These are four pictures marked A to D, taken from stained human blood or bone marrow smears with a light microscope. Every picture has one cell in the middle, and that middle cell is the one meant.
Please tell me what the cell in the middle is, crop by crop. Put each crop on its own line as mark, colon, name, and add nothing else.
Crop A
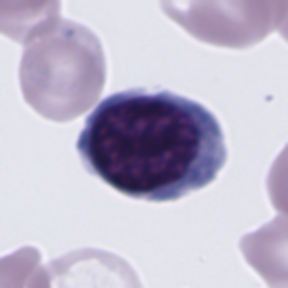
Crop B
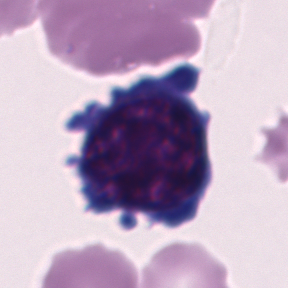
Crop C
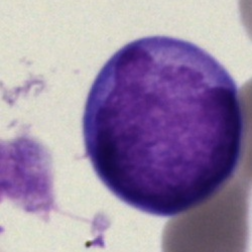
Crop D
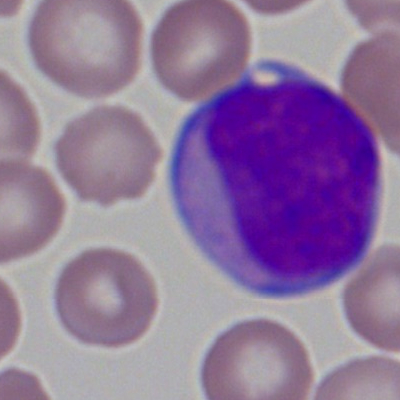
A: erythroblast
B: erythroblast
C: blast
D: blast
